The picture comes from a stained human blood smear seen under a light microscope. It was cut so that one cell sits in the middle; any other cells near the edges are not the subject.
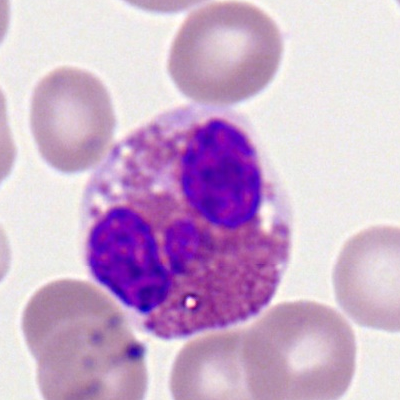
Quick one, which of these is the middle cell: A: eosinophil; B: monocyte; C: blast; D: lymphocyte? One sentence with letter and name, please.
The middle cell of the crop is an eosinophil; accordingly, option A is correct.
